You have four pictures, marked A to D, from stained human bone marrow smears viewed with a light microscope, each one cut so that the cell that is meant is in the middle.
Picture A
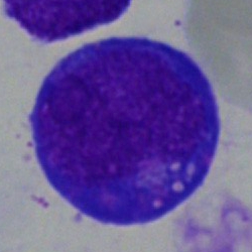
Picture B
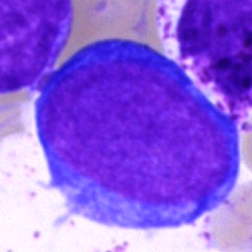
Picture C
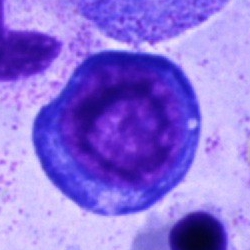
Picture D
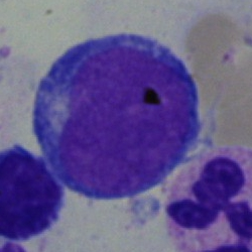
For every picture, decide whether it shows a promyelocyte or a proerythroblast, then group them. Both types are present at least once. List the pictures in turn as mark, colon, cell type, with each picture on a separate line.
A: promyelocyte
B: proerythroblast
C: proerythroblast
D: proerythroblast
